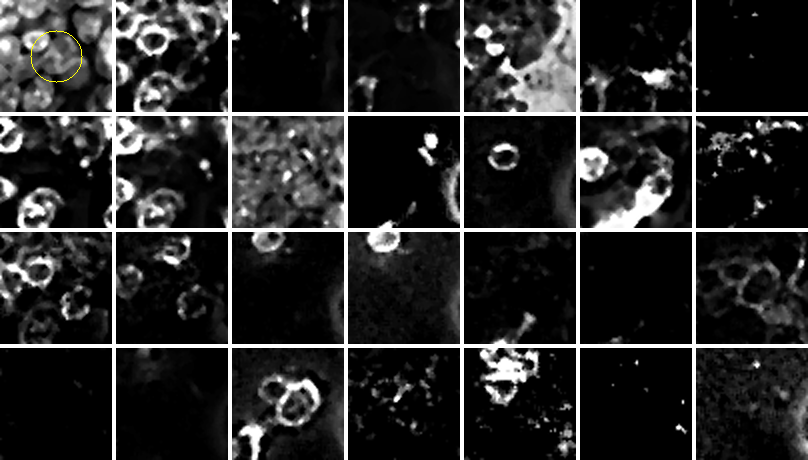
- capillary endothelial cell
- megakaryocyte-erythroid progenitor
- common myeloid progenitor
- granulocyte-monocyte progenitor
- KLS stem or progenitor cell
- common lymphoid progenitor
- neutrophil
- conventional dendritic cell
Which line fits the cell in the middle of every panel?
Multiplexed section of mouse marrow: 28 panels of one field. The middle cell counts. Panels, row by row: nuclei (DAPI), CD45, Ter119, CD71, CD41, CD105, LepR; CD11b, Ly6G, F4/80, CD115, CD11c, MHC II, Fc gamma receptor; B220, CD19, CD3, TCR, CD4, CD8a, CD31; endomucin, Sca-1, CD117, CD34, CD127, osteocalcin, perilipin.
megakaryocyte-erythroid progenitor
